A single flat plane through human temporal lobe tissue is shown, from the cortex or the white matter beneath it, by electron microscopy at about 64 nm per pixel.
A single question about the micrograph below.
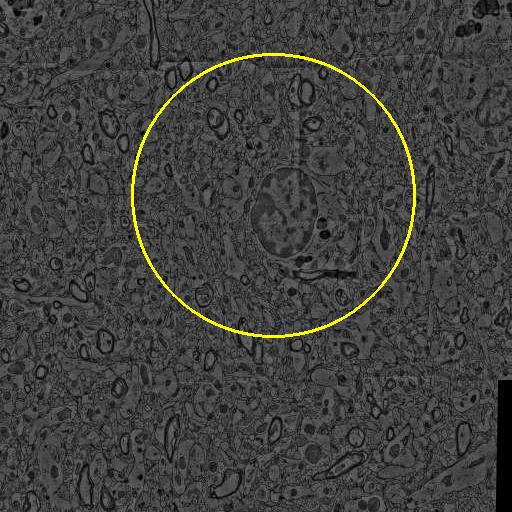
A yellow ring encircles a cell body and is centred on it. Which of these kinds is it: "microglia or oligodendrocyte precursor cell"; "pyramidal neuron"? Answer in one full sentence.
The cell body at the centre of the yellow ring belongs to a microglial cell or oligodendrocyte precursor cell.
